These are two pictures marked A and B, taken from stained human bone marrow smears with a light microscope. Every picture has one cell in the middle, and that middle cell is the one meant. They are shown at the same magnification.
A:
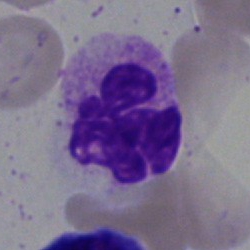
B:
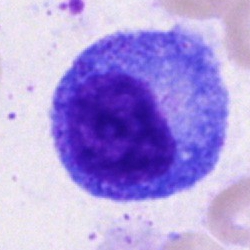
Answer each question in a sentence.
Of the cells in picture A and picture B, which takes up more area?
Picture B holds the larger cell; it covers about 1.5 times the area of the cell in picture A.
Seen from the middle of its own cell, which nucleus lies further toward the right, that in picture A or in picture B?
In picture A the nucleus is shifted more toward the right.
